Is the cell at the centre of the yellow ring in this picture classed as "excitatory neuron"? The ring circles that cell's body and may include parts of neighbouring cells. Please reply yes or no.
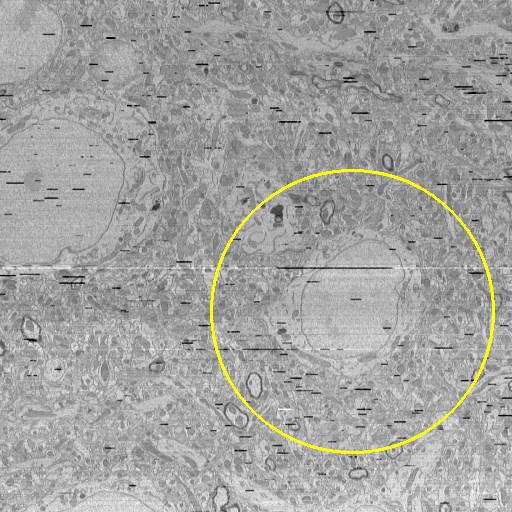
Yes, it is of that kind.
